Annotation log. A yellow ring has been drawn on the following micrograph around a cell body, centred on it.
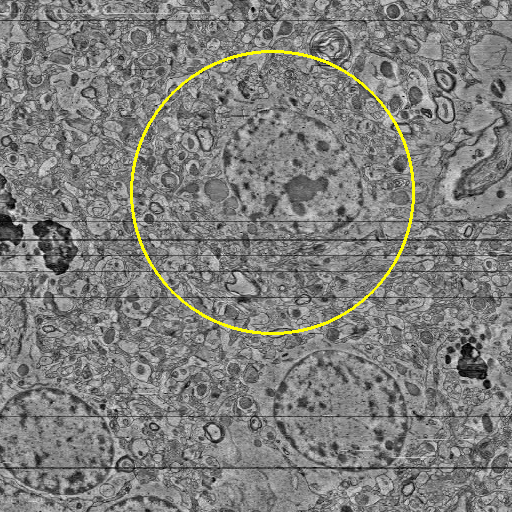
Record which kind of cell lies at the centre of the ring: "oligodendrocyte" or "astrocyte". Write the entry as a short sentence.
The cell the ring is centred on is an astrocyte.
